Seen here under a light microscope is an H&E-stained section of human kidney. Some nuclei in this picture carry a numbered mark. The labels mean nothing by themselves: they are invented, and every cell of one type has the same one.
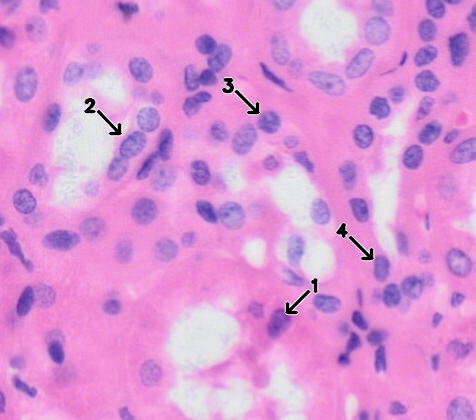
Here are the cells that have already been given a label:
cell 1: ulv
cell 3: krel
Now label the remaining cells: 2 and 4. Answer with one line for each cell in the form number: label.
2: krel
4: krel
